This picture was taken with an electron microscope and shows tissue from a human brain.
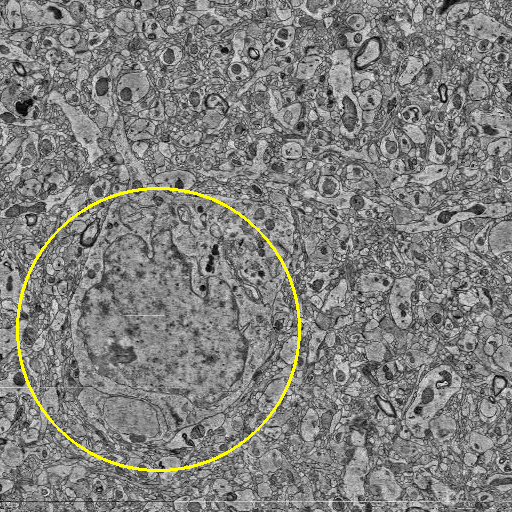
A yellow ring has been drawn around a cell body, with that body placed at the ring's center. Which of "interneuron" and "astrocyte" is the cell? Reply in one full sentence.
In this picture, an interneuron is the cell at the center of the yellow ring.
